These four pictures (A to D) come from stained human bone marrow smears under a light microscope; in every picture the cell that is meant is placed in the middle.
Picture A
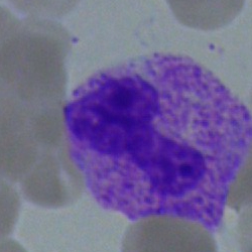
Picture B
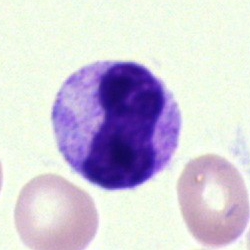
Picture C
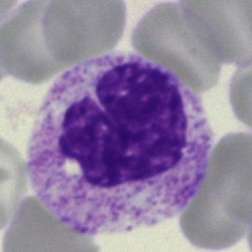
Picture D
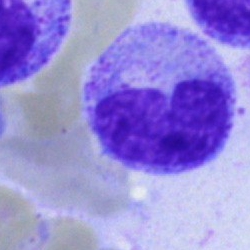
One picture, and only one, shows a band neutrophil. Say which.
A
